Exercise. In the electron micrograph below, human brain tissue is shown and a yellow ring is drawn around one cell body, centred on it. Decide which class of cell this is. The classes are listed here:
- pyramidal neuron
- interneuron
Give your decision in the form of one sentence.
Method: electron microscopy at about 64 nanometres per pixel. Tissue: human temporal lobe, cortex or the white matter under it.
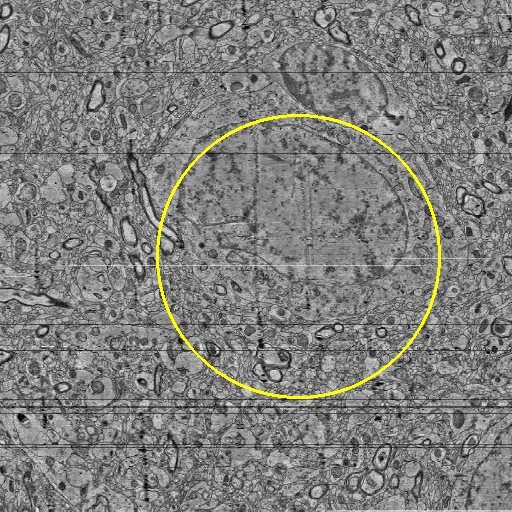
The cell body marked by the ring belongs to an interneuron.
